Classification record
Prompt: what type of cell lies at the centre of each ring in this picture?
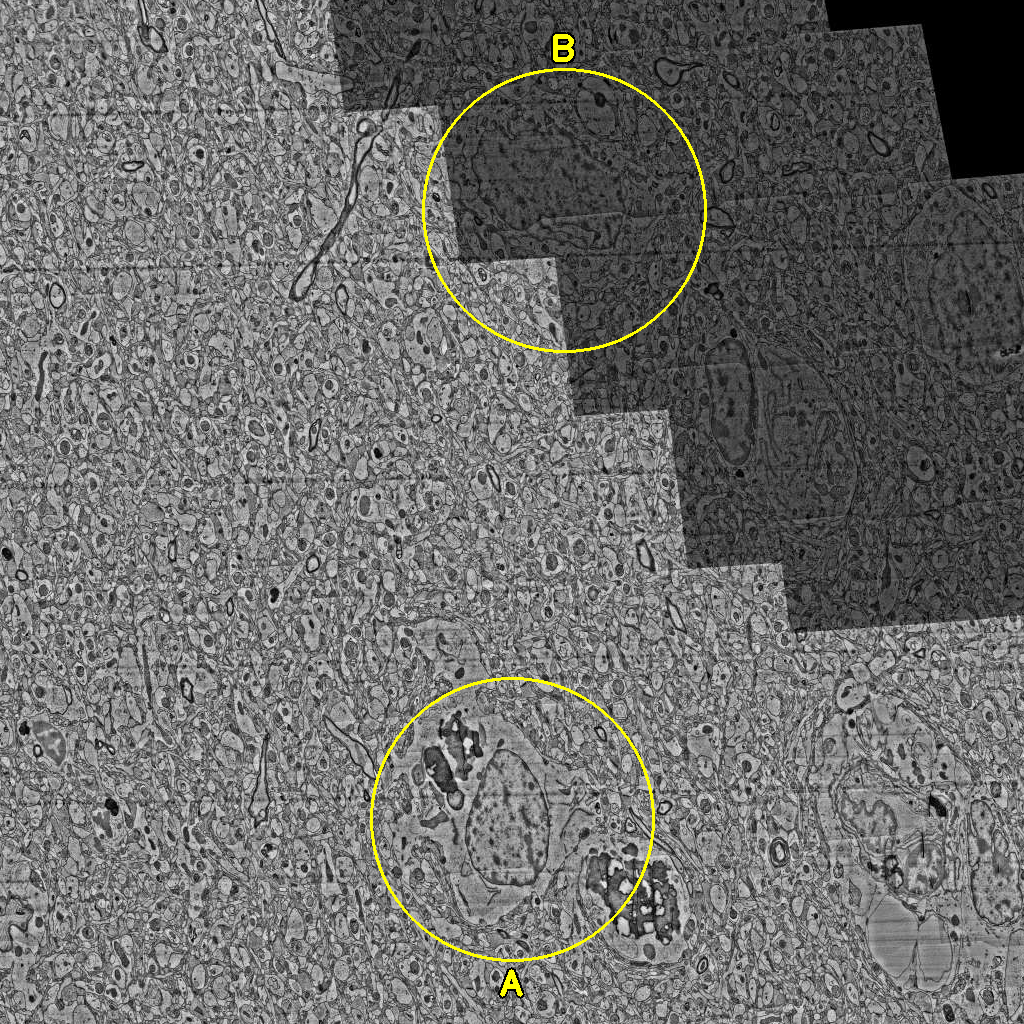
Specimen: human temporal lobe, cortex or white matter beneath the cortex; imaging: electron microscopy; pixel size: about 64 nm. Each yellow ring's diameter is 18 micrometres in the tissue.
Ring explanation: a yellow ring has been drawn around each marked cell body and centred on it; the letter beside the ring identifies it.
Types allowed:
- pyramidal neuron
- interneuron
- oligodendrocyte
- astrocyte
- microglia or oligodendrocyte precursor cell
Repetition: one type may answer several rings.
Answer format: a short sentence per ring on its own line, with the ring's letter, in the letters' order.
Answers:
Ring A shows an astrocyte at its centre.
Ring B shows an interneuron at its centre.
